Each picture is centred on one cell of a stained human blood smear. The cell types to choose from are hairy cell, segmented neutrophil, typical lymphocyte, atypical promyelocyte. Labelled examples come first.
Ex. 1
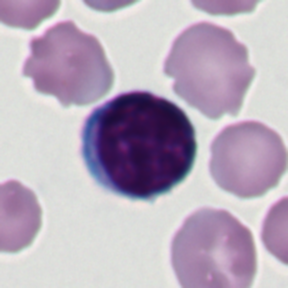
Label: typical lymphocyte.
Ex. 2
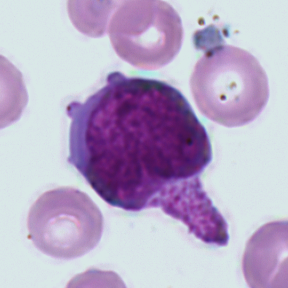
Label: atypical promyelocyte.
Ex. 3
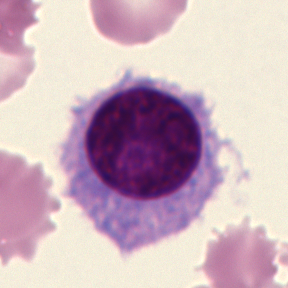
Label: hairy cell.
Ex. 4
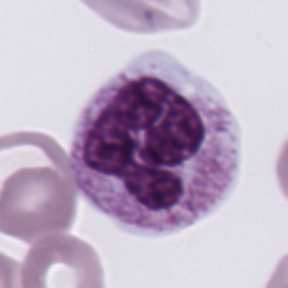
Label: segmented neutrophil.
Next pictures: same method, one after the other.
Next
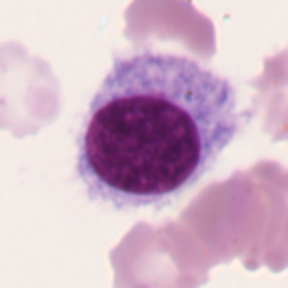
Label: hairy cell.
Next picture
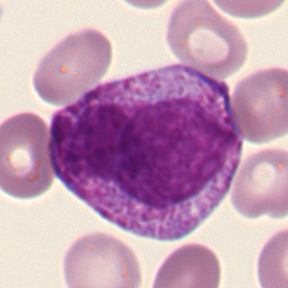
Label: atypical promyelocyte.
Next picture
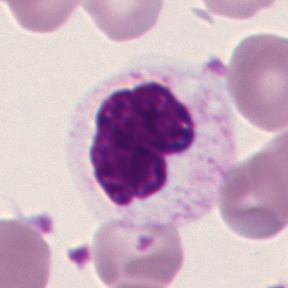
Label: segmented neutrophil.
